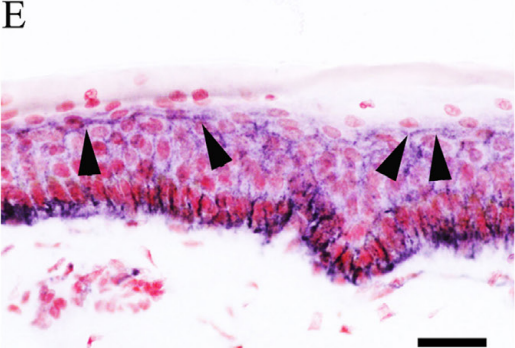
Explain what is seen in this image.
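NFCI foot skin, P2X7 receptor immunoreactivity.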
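Stratified epidermis in which the basal keratinocytes are stained dark purple along their columnar bodies, and suprabasal keratinocytes in the upper layers show purple staining around polygonal cells with red oval nuclei. Beneath lies dermis with scattered red nuclei of connective tissue cells.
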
